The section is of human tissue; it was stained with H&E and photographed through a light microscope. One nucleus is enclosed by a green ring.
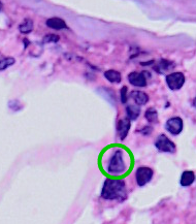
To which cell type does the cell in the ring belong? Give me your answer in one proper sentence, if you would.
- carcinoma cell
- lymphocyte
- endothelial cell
As a matter of cell type, the cell in the ring is a lymphocyte.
